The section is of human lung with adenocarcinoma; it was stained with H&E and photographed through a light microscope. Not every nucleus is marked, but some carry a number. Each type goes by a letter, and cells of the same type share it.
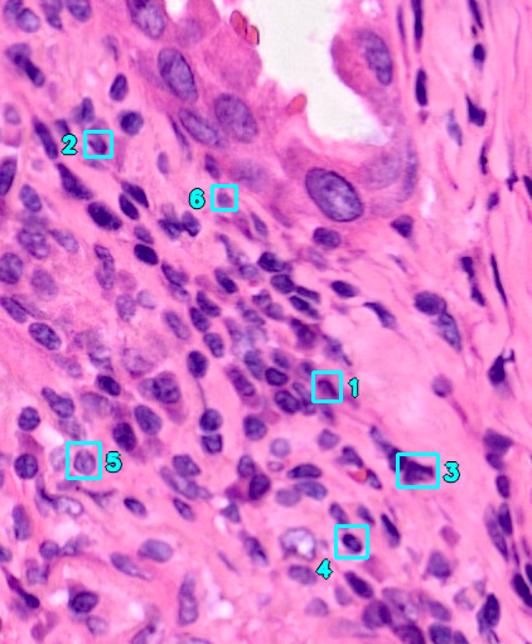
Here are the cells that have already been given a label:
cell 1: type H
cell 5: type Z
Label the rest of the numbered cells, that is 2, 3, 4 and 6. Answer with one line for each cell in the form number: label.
2: type H
3: type H
4: type Z
6: type Z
